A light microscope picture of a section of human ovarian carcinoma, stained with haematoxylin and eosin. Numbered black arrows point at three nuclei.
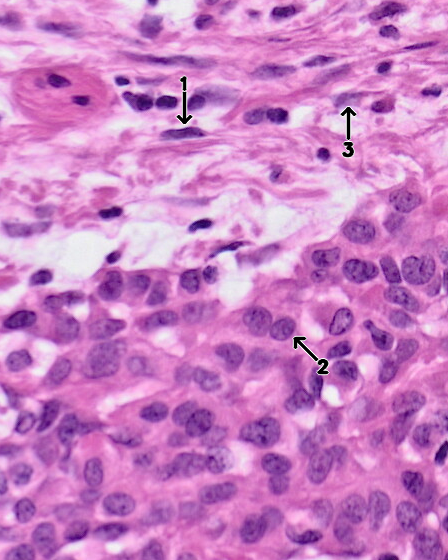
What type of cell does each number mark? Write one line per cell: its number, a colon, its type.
1: fibroblast
2: carcinoma cell
3: fibroblast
